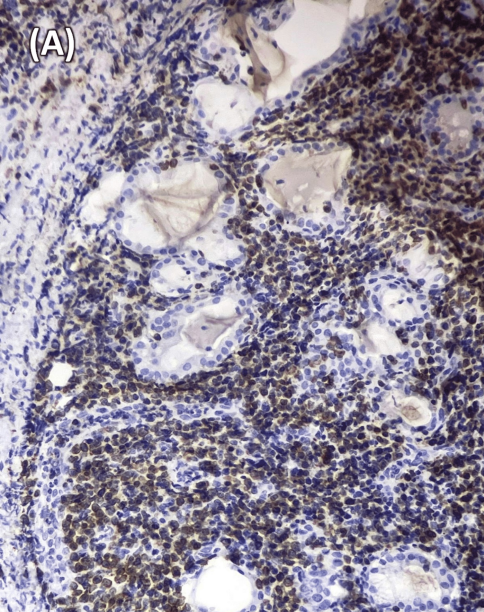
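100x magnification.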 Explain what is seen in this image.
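A dense sheet of small round lymphoid cells fills the tissue, and most of them are stained brown. The brown cells crowd around and between several rounded glands whose lining epithelium stays blue and unstained, some glands holding pale secretion in their lumens. Toward the upper left edge the infiltrate thins into paler, blue-stained connective tissue.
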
